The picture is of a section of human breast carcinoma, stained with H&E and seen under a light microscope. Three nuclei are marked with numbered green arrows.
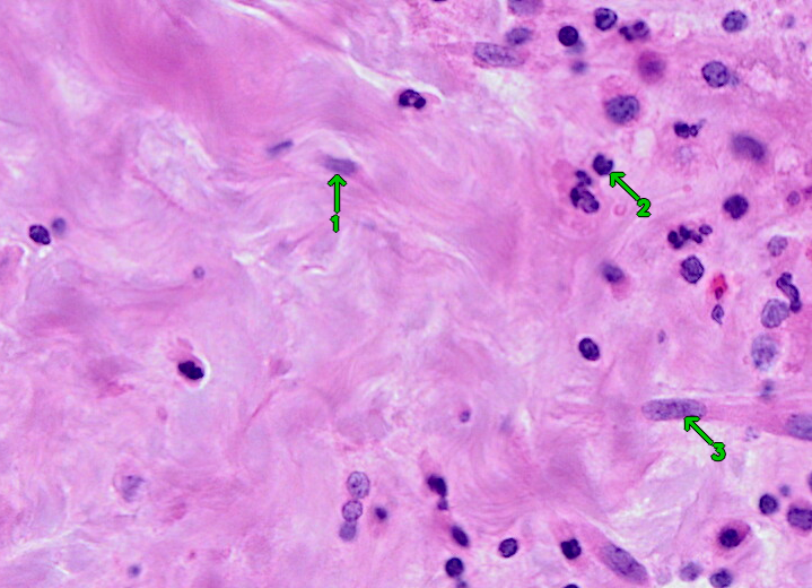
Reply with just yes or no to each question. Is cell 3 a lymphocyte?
no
